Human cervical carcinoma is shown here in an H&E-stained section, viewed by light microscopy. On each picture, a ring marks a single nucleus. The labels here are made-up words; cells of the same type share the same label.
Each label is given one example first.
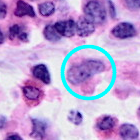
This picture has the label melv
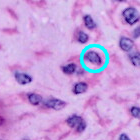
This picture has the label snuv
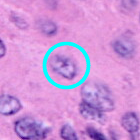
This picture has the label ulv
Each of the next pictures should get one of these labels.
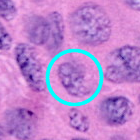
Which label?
ulv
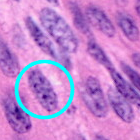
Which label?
ulv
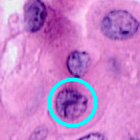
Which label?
ulv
